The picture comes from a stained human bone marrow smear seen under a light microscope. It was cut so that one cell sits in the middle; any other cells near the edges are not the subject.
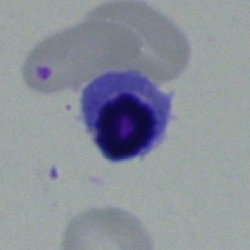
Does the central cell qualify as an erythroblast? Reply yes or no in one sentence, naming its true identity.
Yes, the identification of the central cell as an erythroblast is correct.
